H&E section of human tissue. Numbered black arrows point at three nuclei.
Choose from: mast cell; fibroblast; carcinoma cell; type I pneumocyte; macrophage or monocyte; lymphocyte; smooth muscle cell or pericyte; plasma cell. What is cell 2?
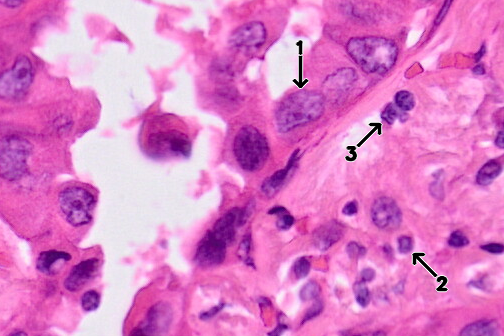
lymphocyte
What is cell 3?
lymphocyte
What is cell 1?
carcinoma cell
